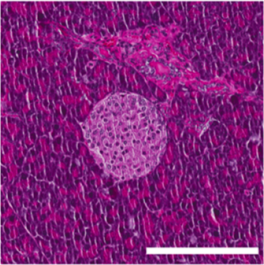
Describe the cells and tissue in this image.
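This is pancreas with a single islet lying in the middle, a round, pale pink cluster of cells clearly set apart from the surrounding tissue. The islet cells have evenly spaced nuclei and pale cytoplasm, and no crowding of small dark nuclei is seen in or around it. All around, the exocrine pancreas stains a deeper magenta and is made of packed glandular cells. Near the top, a strand of connective tissue with a small vessel runs through the section.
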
